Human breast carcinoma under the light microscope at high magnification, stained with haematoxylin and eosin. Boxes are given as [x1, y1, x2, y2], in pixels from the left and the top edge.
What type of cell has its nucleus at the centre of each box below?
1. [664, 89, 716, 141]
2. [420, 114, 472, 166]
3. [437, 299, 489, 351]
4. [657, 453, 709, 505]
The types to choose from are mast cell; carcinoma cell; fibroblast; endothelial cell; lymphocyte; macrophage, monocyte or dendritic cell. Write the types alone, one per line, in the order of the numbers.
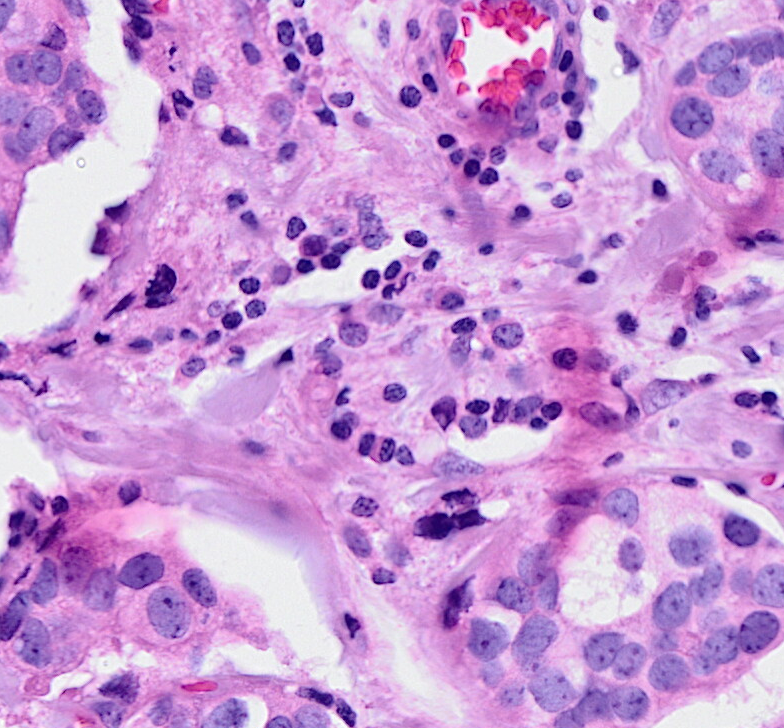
carcinoma cell
lymphocyte
lymphocyte
lymphocyte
